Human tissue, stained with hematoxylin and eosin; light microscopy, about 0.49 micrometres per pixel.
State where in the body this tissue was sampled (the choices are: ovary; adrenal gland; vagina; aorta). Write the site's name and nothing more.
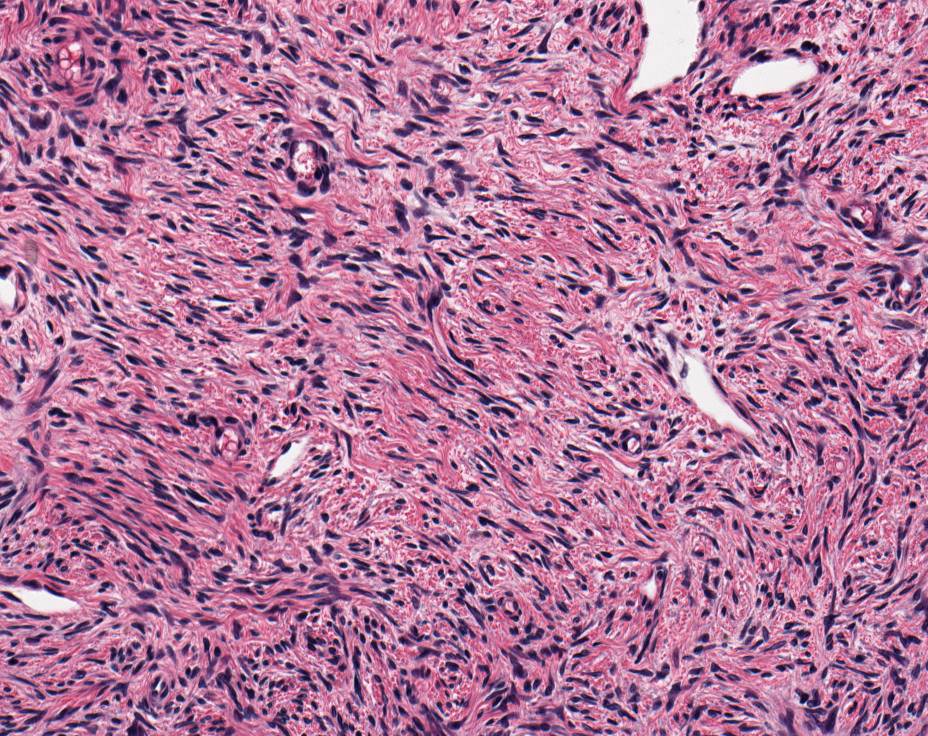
ovary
